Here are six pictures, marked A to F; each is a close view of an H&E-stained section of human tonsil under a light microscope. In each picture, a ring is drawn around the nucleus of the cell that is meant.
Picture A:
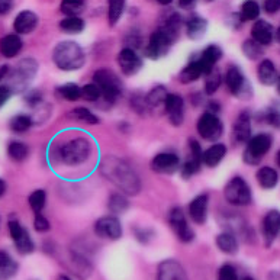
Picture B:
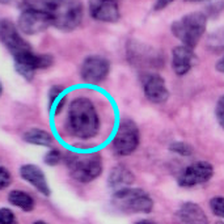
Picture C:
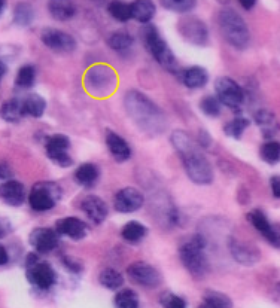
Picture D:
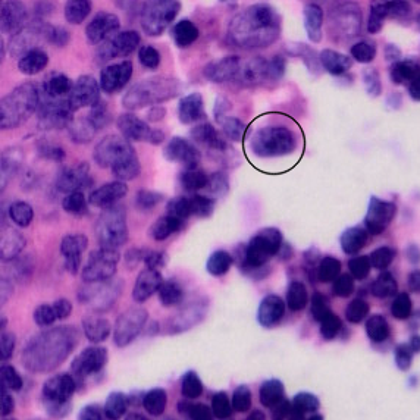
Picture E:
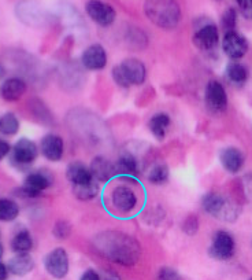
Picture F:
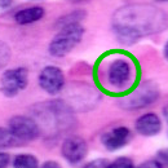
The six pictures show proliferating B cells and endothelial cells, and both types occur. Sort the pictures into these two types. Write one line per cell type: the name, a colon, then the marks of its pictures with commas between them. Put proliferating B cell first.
proliferating B cell: B, D
endothelial cell: A, C, E, F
